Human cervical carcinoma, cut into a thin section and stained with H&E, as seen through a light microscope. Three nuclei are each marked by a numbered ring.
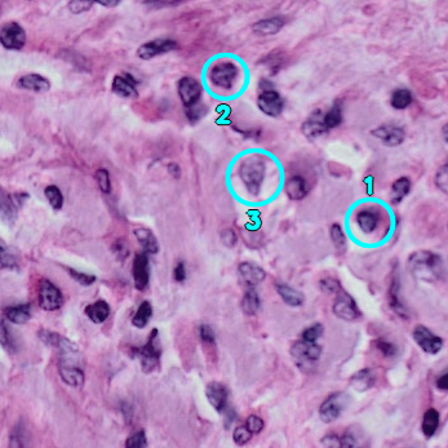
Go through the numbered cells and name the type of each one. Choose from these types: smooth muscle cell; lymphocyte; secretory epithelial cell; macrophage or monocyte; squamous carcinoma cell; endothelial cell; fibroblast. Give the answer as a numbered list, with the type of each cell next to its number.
1. lymphocyte
2. lymphocyte
3. macrophage or monocyte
